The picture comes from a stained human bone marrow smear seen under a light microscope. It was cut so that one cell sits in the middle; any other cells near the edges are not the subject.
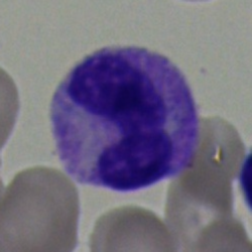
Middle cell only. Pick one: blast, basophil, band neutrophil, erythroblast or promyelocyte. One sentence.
For this crop, the central cell is a band neutrophil.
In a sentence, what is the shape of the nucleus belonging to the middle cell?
Two or more lobes make up the nucleus of this cell.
